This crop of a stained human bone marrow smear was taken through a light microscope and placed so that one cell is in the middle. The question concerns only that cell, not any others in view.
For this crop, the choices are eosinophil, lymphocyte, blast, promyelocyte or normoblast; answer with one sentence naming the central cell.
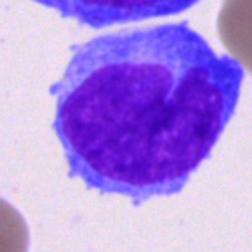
The cell sitting right in the middle is a blast.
